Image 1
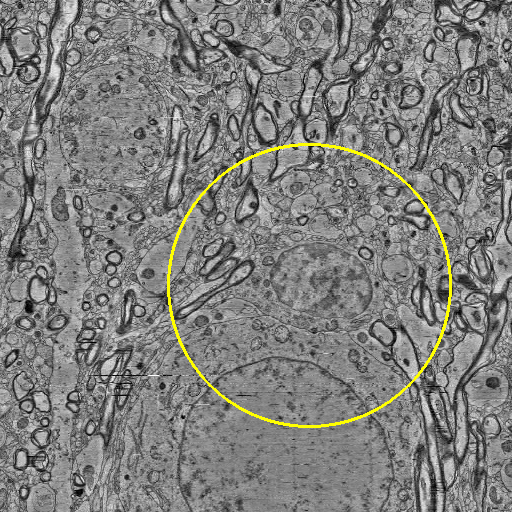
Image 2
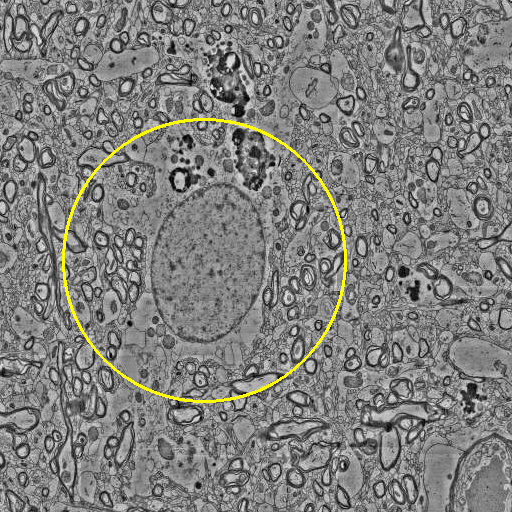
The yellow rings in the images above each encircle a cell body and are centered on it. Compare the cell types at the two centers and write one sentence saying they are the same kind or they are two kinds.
Taken together, the two cells at the ring centers are two kinds.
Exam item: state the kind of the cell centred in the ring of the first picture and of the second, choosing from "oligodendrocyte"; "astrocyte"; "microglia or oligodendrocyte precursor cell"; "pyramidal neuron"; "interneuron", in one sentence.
The first picture shows an oligodendrocyte at the ring centre and the second shows an astrocyte.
